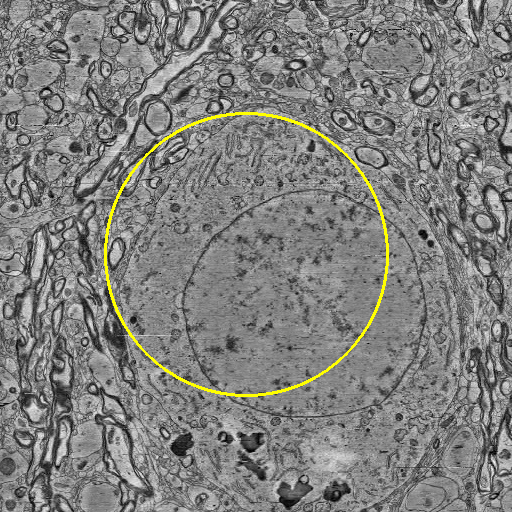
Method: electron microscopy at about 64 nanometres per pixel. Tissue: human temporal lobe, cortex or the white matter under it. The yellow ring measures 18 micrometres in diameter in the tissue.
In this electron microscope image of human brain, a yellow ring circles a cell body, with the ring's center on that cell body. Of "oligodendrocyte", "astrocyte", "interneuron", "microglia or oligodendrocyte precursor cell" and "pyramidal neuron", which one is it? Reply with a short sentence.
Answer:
It is a pyramidal neuron at the center of the ring.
